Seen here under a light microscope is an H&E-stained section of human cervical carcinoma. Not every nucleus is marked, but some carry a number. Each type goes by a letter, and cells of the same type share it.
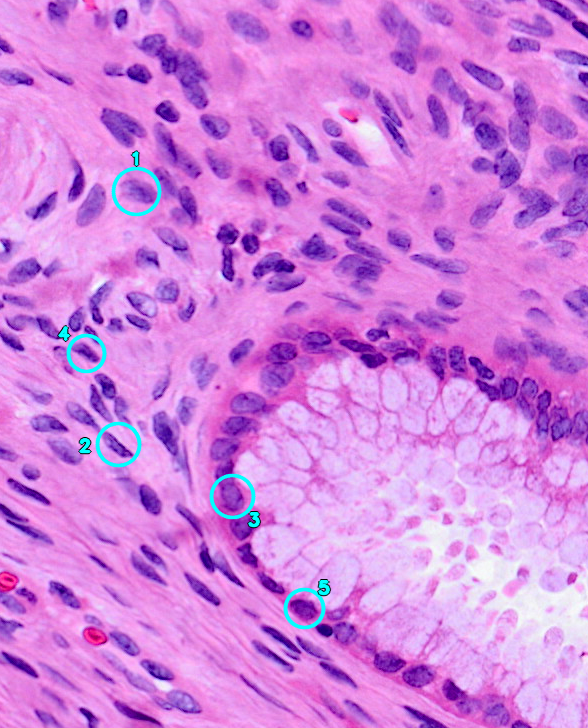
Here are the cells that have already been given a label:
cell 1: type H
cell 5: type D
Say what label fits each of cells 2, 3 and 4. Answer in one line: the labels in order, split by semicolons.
type H; type D; type H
